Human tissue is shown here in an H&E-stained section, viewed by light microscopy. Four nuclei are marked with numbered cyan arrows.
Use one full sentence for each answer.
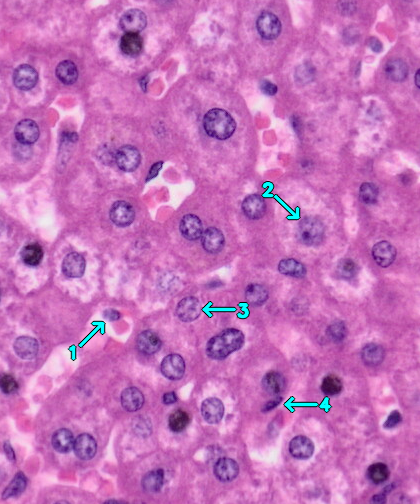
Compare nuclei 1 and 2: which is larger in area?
It is nucleus 2, which covers about 3 times the area of nucleus 1.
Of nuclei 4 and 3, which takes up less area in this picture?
Nucleus 4 is the smaller one; nucleus 3 covers about 2.5 times its area.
